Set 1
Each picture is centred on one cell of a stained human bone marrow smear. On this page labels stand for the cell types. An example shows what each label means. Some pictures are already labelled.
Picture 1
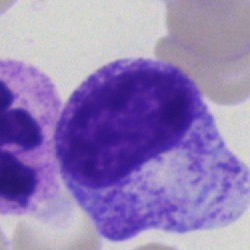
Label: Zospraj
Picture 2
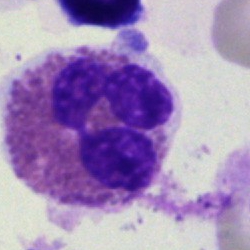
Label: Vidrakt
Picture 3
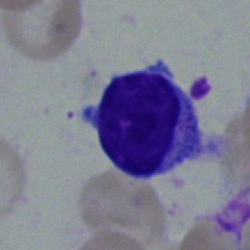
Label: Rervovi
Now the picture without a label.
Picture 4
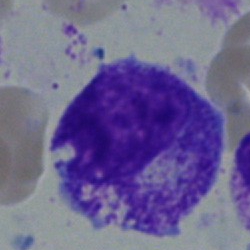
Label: Zospraj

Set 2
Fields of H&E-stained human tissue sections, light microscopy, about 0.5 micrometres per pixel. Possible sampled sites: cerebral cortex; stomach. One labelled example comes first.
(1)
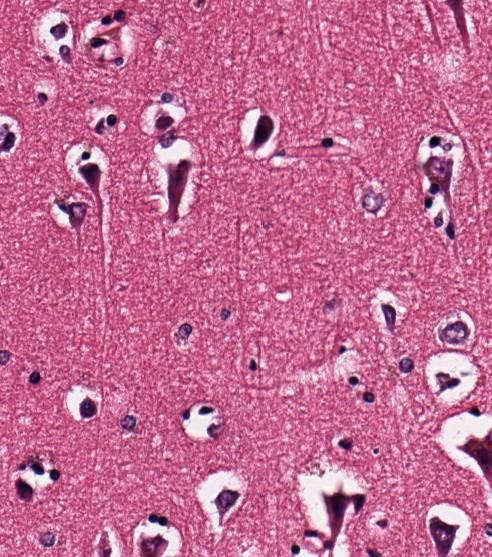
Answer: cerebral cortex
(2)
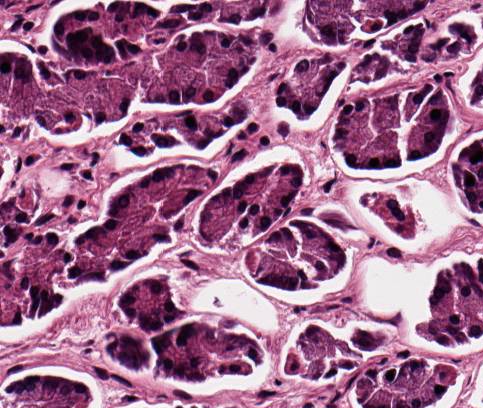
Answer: stomach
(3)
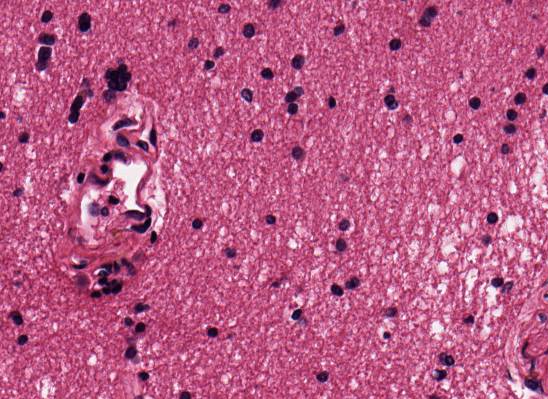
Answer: cerebral cortex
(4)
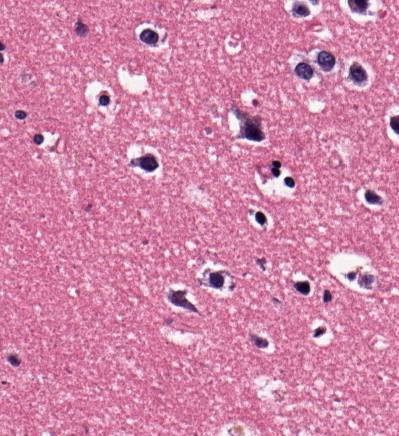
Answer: cerebral cortex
